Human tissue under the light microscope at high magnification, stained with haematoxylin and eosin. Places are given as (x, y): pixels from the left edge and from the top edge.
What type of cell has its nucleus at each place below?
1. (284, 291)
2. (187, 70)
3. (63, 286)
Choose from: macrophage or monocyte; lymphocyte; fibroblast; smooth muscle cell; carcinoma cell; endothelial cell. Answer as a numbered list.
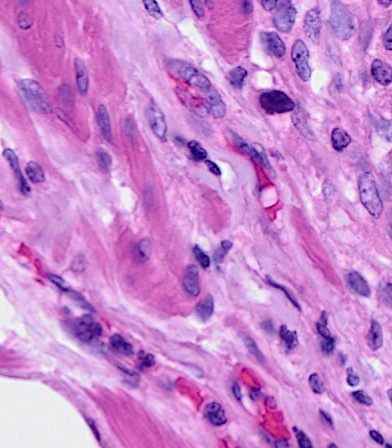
1. fibroblast
2. endothelial cell
3. endothelial cell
